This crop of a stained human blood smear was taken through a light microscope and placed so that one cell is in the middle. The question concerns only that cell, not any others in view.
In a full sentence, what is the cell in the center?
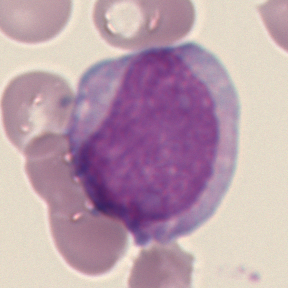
The middle position in this crop is taken by an atypical promyelocyte.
